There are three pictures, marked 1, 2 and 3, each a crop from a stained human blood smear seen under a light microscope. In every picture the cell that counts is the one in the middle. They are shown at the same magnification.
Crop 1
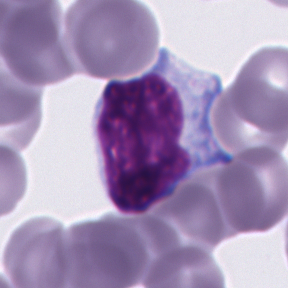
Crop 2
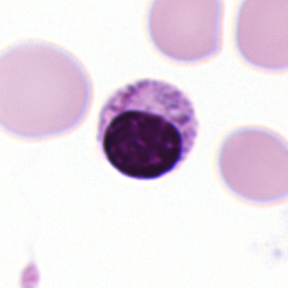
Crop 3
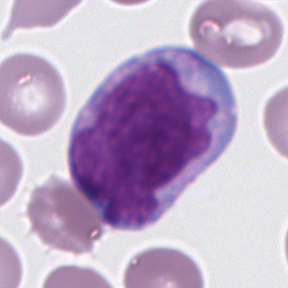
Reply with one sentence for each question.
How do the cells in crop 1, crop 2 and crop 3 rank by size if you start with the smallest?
Smallest first: 2, 1, 3.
